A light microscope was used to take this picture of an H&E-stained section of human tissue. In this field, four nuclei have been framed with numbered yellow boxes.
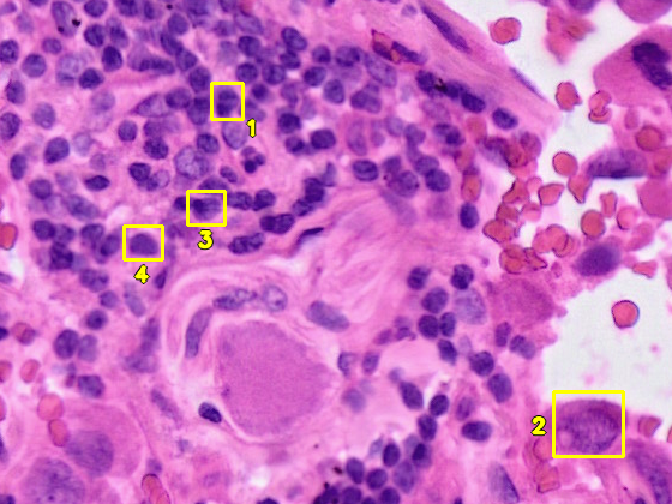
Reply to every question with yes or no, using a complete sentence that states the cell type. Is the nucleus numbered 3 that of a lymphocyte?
Yes, the cell that number 3 points to is a lymphocyte.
